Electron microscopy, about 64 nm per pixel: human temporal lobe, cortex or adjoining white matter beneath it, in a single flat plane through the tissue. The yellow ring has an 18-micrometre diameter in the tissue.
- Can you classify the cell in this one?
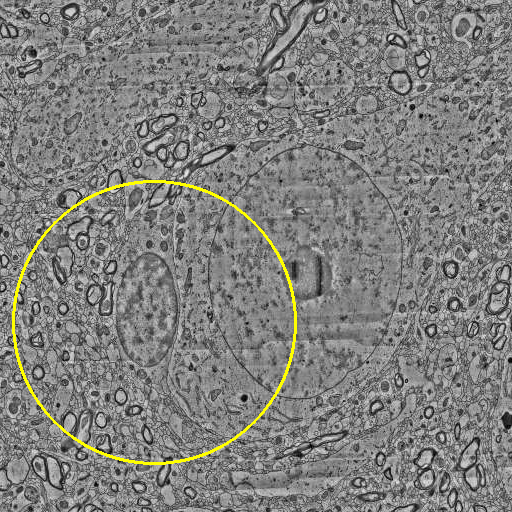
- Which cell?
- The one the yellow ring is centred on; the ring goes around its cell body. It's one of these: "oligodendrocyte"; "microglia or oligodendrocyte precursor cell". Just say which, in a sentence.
The cell body in the ring belongs to an oligodendrocyte.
